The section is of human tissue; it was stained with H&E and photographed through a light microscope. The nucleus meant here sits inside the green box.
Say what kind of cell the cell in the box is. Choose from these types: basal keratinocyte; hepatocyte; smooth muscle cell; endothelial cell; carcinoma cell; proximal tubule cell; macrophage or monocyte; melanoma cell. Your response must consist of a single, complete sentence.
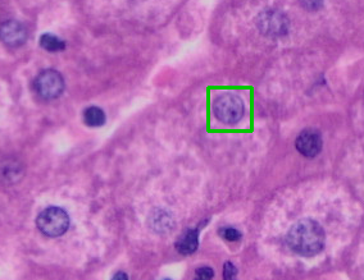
Just put down that the cell in the box is a hepatocyte.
